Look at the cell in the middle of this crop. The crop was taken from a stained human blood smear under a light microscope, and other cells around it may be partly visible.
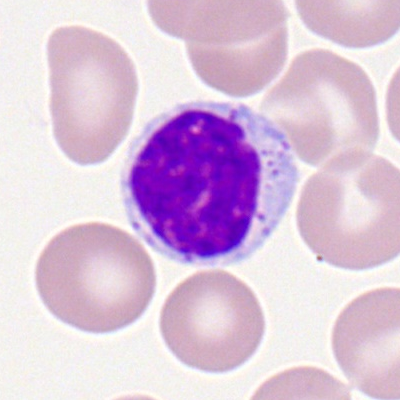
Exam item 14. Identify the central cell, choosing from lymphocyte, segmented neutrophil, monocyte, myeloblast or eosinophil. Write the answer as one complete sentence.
Whatever else lies nearby, the middle cell is a lymphocyte.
